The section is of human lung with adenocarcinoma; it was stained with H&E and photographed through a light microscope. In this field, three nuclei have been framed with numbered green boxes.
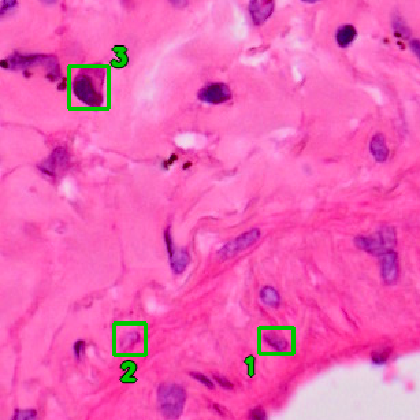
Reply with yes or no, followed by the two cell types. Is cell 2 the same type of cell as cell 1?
Yes, that cells 2 and 1 are both smooth muscle cells or pericytes holds true.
